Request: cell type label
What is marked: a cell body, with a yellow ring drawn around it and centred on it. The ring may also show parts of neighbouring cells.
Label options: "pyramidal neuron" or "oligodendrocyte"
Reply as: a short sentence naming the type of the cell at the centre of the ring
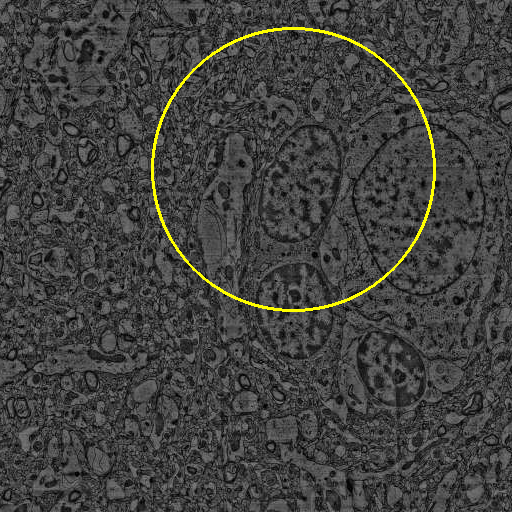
The marked cell body is that of an oligodendrocyte.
